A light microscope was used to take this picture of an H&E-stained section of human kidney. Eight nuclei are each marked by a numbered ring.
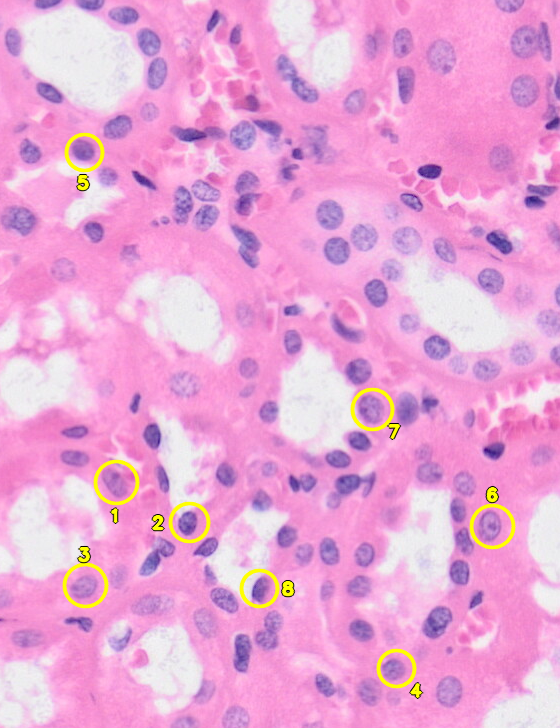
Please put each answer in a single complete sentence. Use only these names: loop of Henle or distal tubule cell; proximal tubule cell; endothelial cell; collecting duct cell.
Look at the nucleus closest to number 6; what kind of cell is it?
Closest to number 6 lies the nucleus of a loop of Henle or distal tubule cell.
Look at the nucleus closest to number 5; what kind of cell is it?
The nucleus nearest to number 5 is that of a loop of Henle or distal tubule cell.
